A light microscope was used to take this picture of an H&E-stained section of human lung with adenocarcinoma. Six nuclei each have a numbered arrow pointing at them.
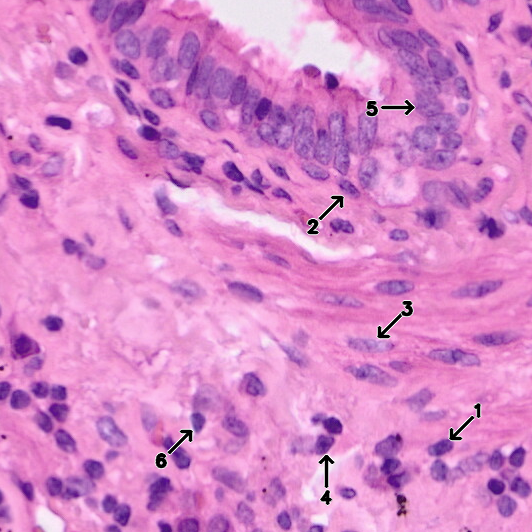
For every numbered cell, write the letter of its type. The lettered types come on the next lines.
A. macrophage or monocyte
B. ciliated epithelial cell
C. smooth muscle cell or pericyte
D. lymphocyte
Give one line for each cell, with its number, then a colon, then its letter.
1: D
2: B
3: C
4: D
5: B
6: D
